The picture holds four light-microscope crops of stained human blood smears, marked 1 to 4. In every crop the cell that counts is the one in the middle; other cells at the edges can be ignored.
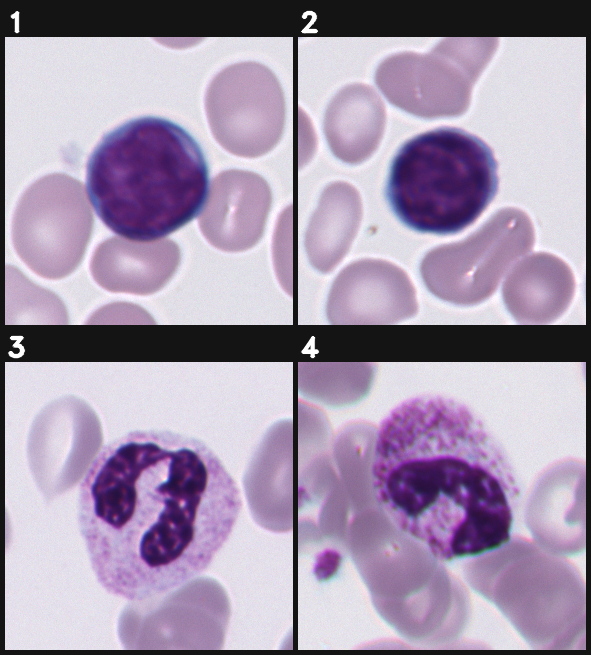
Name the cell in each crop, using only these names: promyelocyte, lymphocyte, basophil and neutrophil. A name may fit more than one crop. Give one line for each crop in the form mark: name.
1: lymphocyte
2: lymphocyte
3: neutrophil
4: neutrophil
